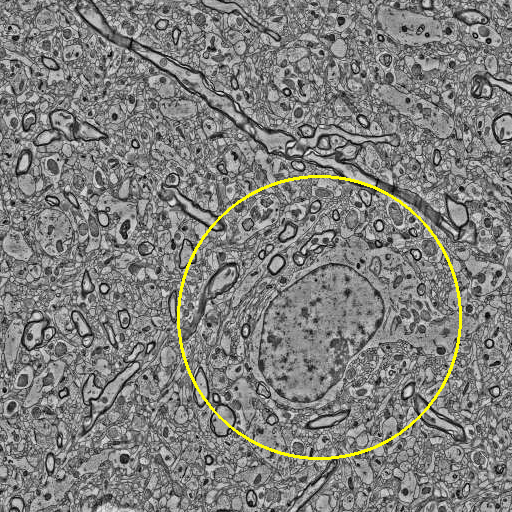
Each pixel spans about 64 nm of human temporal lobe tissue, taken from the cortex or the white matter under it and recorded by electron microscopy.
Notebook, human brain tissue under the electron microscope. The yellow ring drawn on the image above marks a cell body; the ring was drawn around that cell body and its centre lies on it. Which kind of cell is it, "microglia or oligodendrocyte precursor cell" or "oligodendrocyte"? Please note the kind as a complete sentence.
The marked cell body is that of a microglial cell or oligodendrocyte precursor cell.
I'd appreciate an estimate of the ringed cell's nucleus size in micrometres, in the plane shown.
About 9 by 7 micrometers, in this plane.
